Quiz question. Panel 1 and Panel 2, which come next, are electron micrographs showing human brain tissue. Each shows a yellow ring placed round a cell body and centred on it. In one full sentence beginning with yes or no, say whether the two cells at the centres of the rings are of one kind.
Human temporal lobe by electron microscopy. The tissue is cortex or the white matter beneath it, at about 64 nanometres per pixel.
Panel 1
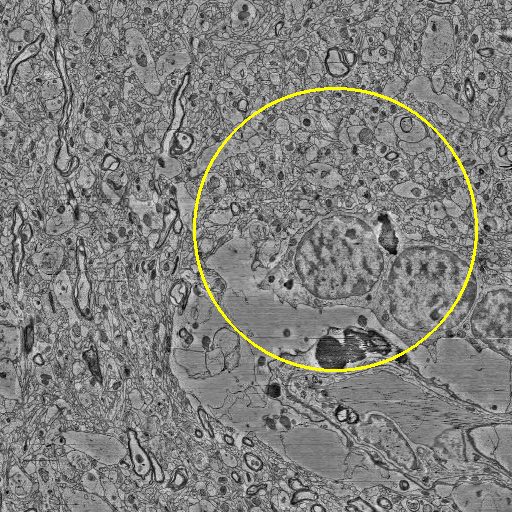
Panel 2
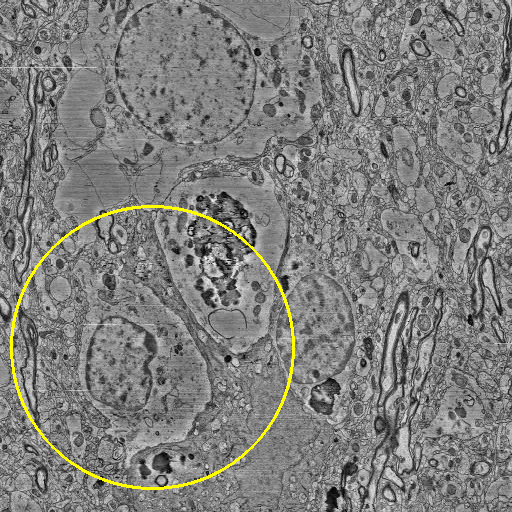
No, Panel 1 and Panel 2 show two kinds of cell at the centre of the ring.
